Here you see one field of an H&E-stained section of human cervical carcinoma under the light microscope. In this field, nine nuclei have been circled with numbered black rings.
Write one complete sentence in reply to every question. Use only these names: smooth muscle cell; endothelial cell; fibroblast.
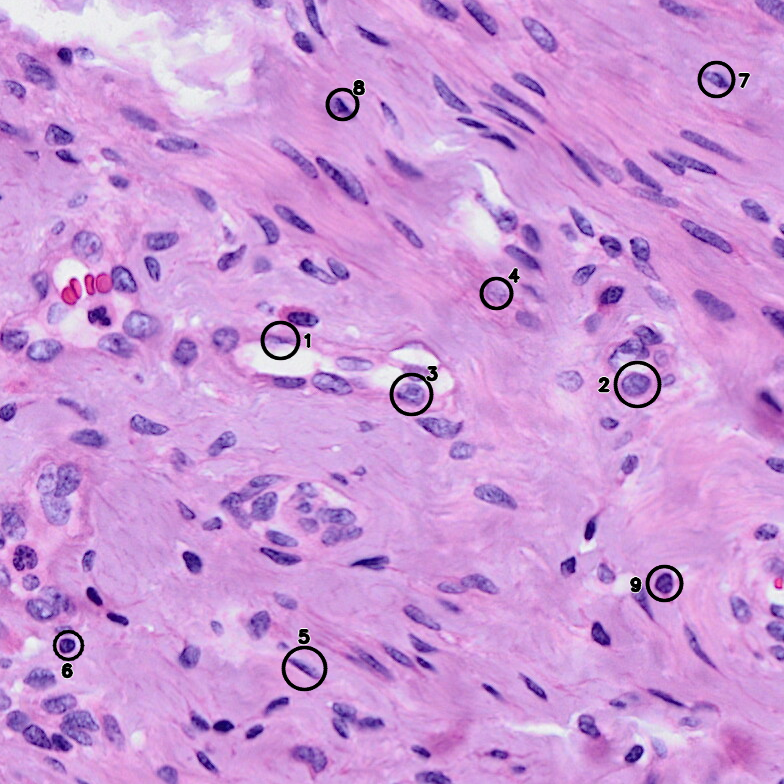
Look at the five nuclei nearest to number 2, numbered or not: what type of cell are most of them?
The majority of the five nuclei closest to number 2 belong to endothelial cells.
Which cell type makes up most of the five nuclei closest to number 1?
The majority of the five nuclei closest to number 1 belong to endothelial cells.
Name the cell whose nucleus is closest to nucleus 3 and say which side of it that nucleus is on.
Lying above nucleus 3, the nearest nucleus is that of an endothelial cell.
